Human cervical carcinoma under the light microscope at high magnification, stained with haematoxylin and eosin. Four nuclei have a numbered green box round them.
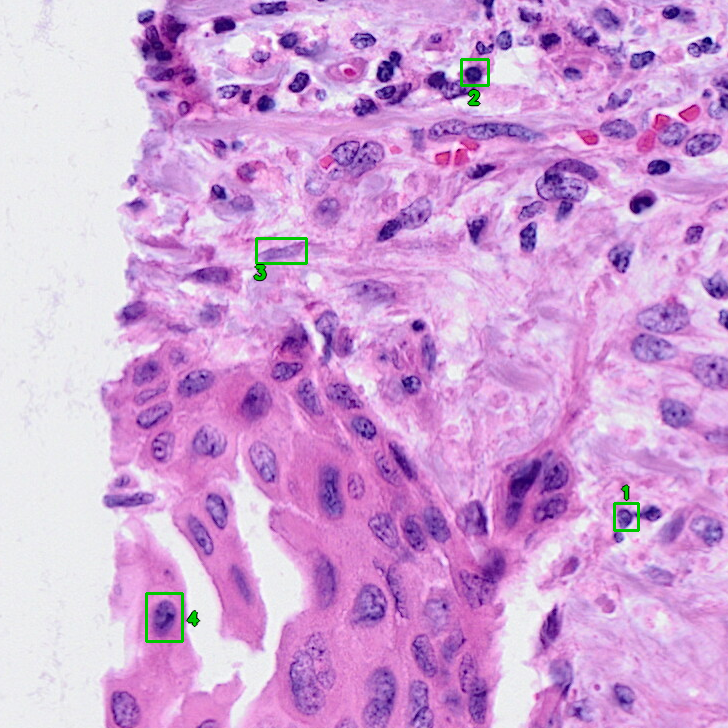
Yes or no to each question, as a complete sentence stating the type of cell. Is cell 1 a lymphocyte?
Yes, number 1 marks a cell that is a lymphocyte.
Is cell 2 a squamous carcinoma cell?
No, cell 2 counts as a lymphocyte rather than as a squamous carcinoma cell.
